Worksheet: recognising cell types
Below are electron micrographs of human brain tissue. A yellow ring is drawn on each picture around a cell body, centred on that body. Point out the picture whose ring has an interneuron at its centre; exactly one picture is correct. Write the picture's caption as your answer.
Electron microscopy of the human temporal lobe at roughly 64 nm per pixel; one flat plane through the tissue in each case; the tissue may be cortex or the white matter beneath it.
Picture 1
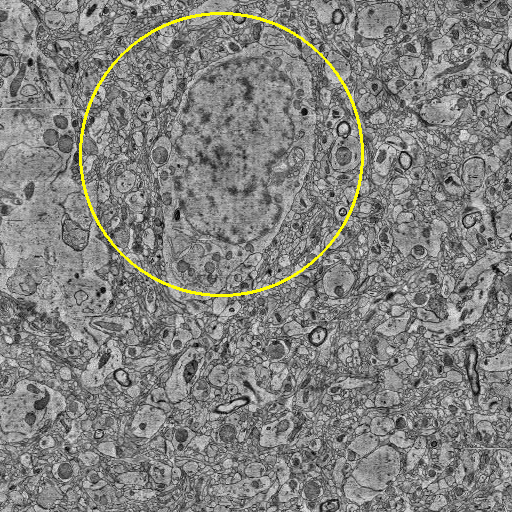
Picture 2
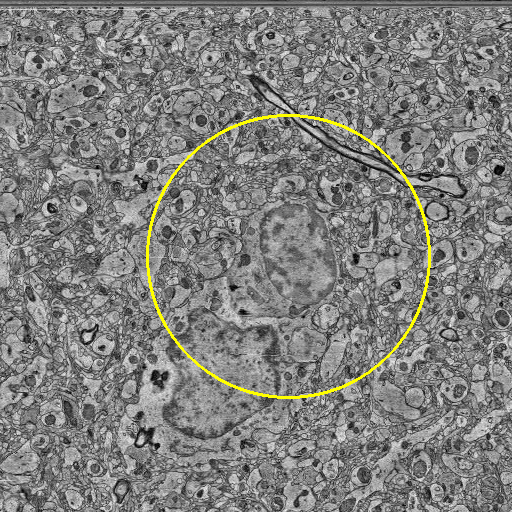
Picture 1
